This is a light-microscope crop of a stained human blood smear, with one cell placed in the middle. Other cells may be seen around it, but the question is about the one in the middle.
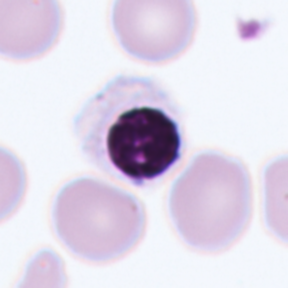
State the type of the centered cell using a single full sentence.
As for the central cell, it is an erythroblast.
